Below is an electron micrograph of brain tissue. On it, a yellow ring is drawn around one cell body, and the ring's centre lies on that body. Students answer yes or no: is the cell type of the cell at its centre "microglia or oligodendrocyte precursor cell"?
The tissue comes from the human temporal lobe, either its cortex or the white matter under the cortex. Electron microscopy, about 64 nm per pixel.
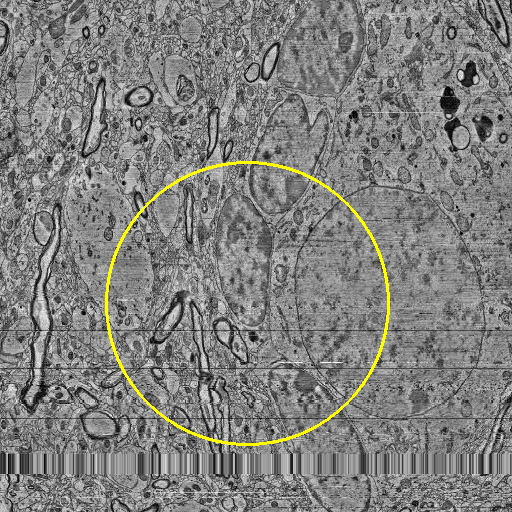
yes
